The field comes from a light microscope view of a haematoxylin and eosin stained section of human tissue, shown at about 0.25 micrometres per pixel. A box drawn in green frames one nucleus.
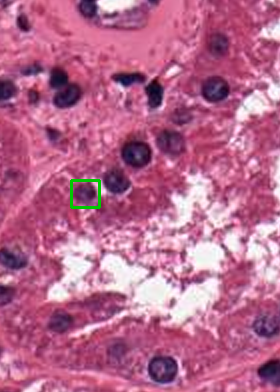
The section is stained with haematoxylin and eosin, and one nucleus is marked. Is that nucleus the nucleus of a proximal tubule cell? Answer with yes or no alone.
yes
